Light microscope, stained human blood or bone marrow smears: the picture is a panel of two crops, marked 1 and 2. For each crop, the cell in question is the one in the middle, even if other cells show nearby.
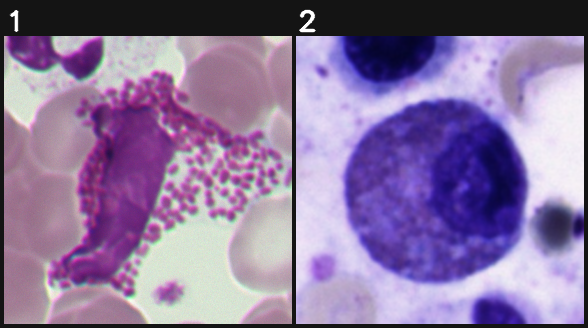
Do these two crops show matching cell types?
yes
